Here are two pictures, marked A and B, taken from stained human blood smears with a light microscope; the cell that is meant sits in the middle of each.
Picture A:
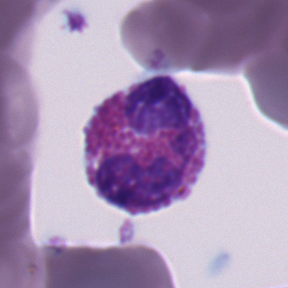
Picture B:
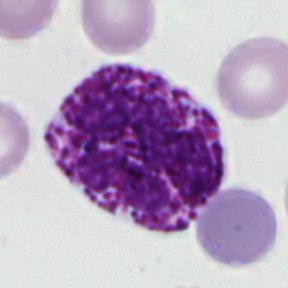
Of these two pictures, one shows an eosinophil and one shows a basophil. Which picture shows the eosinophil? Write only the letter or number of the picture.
A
